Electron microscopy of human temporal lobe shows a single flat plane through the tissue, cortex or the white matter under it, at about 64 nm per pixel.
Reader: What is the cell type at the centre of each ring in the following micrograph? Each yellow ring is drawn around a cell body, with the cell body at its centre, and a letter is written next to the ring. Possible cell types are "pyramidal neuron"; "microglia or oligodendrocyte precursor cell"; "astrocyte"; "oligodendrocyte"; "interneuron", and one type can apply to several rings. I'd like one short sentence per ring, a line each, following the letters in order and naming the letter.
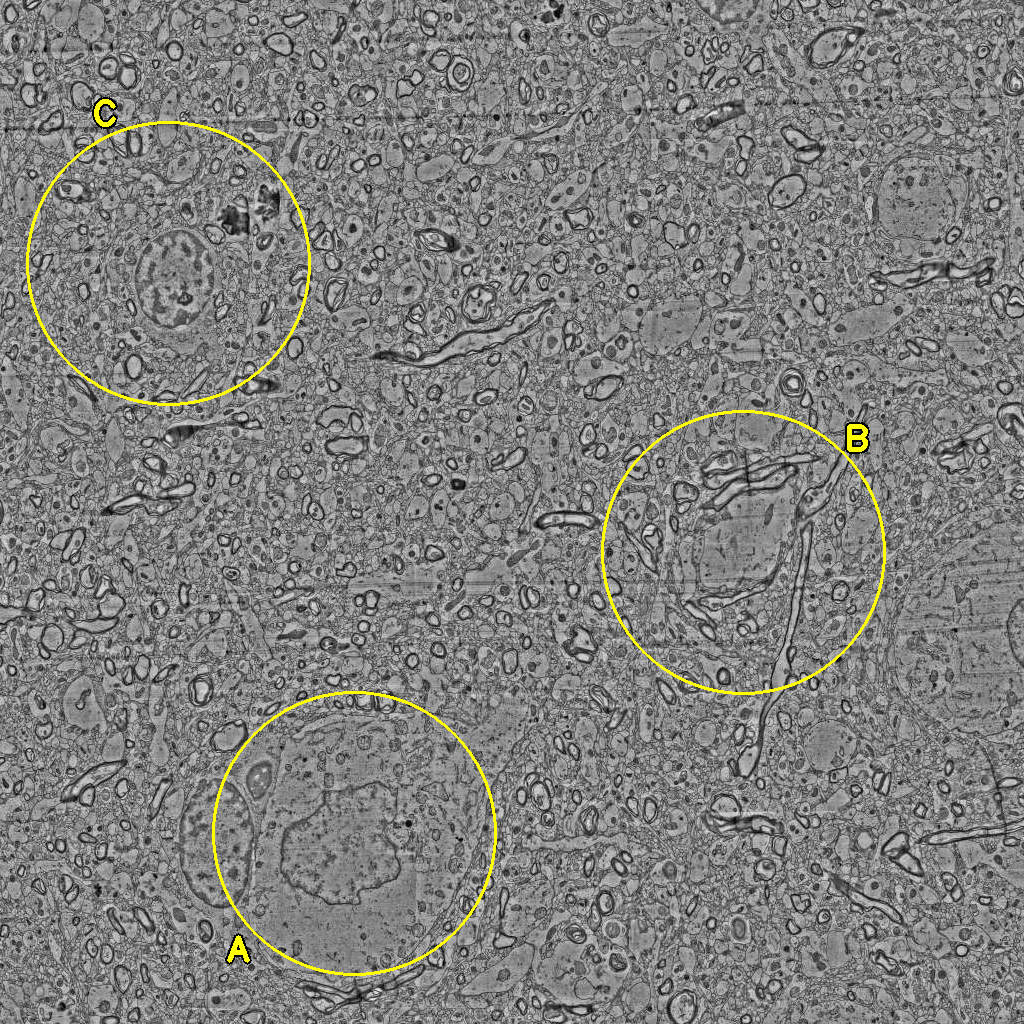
The cell body at the centre of ring A is that of a pyramidal neuron.
The cell body at the centre of ring B is that of an astrocyte.
The cell body at the centre of ring C is that of an oligodendrocyte.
